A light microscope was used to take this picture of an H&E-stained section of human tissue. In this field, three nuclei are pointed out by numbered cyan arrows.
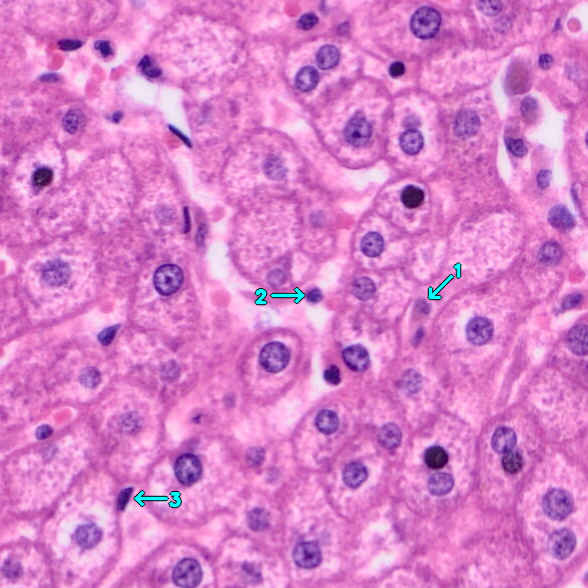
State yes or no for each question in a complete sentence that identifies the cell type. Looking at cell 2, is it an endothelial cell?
No, cell 2 is classified as a lymphocyte rather than an endothelial cell.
